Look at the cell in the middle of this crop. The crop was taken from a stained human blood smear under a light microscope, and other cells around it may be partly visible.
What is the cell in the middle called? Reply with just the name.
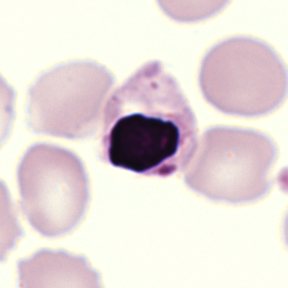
normoblast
